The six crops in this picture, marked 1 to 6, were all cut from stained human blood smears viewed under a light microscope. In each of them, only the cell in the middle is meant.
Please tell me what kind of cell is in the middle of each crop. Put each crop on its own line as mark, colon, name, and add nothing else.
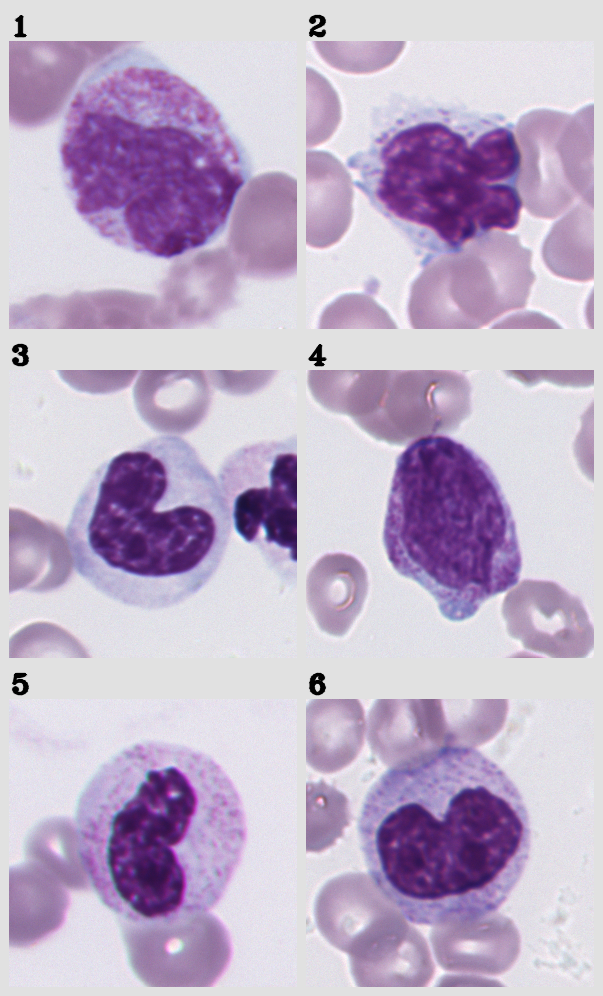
1: band neutrophil
2: large granular lymphocyte
3: band neutrophil
4: atypical promyelocyte
5: band neutrophil
6: metamyelocyte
